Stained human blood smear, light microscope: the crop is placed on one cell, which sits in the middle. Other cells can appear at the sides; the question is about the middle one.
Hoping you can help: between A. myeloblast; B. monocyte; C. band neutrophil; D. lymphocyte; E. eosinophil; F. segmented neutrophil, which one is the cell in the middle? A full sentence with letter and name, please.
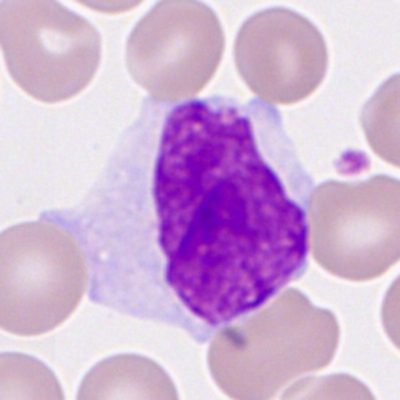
The cell centred in the crop is a monocyte, and the correct option is thus B.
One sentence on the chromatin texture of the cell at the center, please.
Just so you know, its chromatin is coarsely clumped.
